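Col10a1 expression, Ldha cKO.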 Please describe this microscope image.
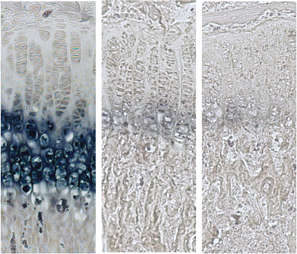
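These are three sections of a growth plate with columns of cartilage cells in a pale matrix. In the left image a broad band of large, rounded cells in the lower cartilage is filled with dark blue-black signal. Above this band the columnar cells are unstained. In the middle and right images the dark signal is almost absent, with only a faint grey tint where the large cells would lie. The band of large cells also appears shorter in these two images.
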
